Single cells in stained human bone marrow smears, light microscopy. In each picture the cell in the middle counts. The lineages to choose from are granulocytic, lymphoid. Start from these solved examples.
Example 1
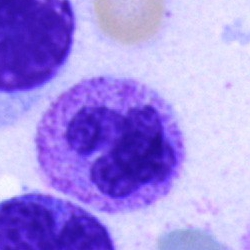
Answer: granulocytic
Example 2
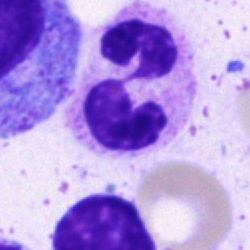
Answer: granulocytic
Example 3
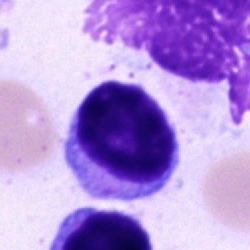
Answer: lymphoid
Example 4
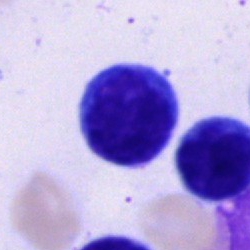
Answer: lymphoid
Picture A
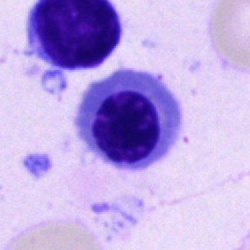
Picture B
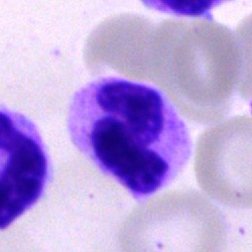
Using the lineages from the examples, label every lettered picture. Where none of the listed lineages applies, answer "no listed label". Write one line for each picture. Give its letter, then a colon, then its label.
A: no listed label
B: granulocytic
